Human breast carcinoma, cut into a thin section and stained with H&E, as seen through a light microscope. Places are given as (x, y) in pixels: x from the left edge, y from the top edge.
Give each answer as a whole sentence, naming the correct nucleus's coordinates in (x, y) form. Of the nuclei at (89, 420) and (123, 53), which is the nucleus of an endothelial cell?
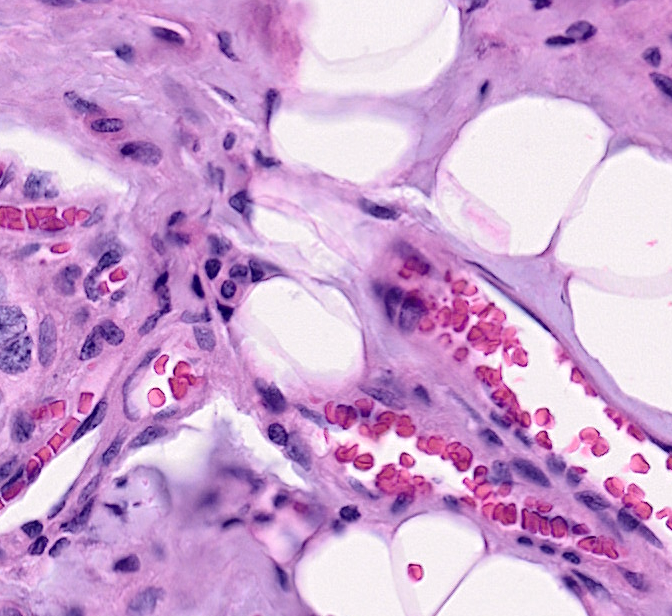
The nucleus that belongs to an endothelial cell is located at (89, 420).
